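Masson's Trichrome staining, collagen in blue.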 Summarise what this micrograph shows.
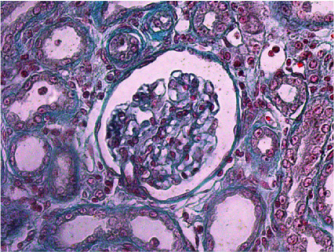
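A glomerulus of the kidney cortex shows a shrunken, dark-staining capillary tuft set within a wide clear space, surrounded by a thickened capsule stained blue-green. Blue-green strands also run through the tuft and between the surrounding tubules, which are widened, with flattened lining cells, pale pink lumens and a pinkish-violet rather than red cytoplasm. Small dark nuclei are scattered in the interstitium between the tubules.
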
